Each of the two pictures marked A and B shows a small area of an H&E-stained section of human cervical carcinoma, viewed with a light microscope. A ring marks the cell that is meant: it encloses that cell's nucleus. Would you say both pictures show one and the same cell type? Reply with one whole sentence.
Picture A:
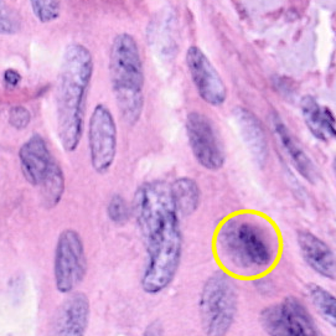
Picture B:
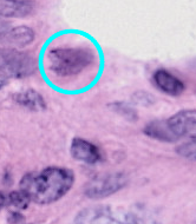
Yes, they are the same type: both are squamous carcinoma cells.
